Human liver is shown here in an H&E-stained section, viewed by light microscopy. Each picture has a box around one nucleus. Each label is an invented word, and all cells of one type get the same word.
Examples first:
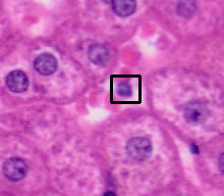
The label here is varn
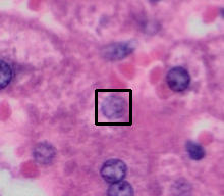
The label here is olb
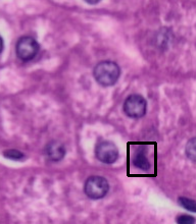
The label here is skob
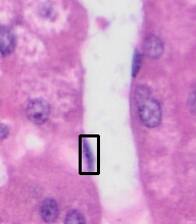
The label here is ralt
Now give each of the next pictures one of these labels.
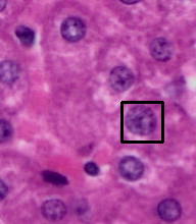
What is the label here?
olb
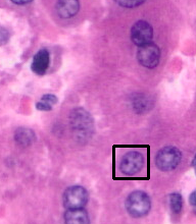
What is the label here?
olb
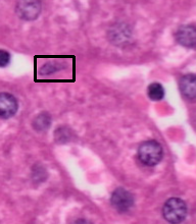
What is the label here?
skob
